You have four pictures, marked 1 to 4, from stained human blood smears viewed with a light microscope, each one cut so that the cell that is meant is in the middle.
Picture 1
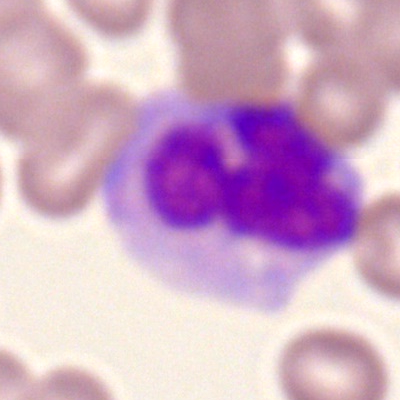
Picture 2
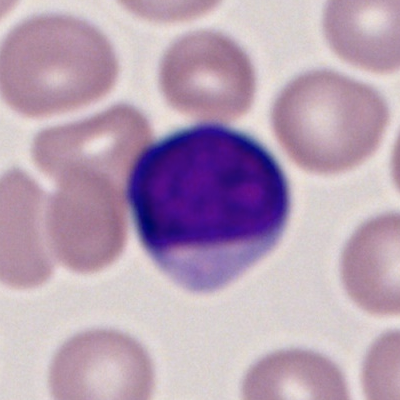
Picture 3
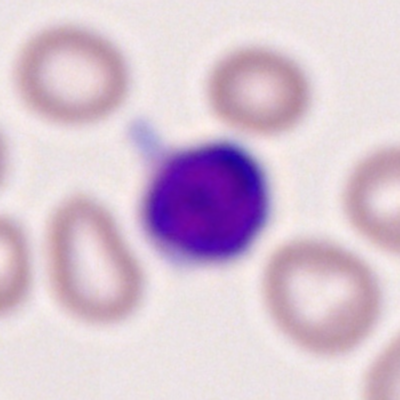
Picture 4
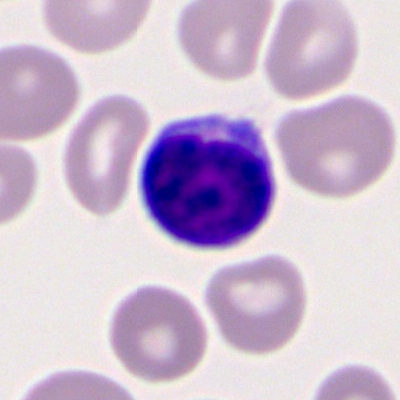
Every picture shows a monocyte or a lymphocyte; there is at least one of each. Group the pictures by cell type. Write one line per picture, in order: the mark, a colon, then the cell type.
1: monocyte
2: lymphocyte
3: lymphocyte
4: lymphocyte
